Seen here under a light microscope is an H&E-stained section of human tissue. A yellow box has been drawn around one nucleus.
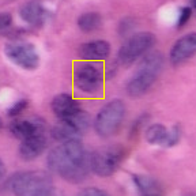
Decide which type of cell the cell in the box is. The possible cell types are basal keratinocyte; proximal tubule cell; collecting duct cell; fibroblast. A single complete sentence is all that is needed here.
By cell type, the cell in the box is a basal keratinocyte.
